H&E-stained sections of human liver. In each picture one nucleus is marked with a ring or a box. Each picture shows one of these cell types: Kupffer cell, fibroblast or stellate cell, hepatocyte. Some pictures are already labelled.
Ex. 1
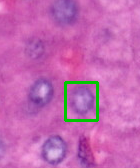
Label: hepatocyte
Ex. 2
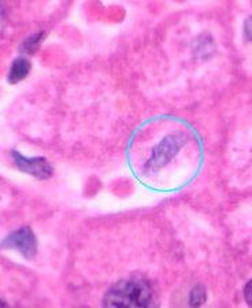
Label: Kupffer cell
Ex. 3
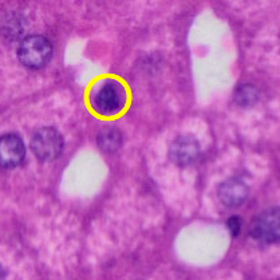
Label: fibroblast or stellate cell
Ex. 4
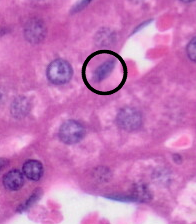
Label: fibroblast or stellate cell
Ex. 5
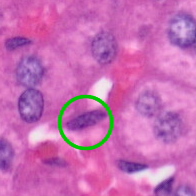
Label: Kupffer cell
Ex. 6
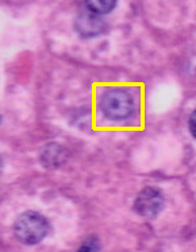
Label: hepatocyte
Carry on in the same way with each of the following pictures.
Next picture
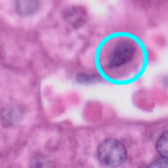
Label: fibroblast or stellate cell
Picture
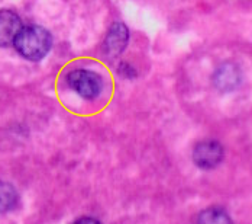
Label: Kupffer cell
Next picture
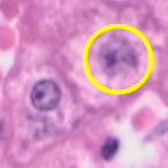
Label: hepatocyte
